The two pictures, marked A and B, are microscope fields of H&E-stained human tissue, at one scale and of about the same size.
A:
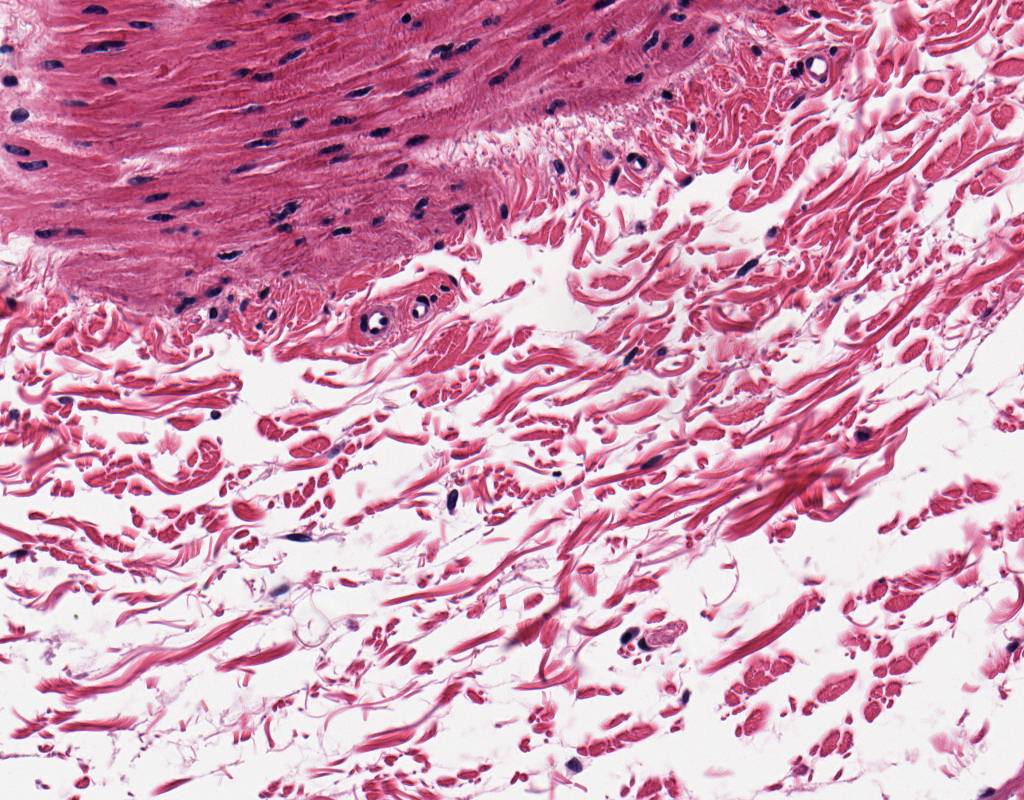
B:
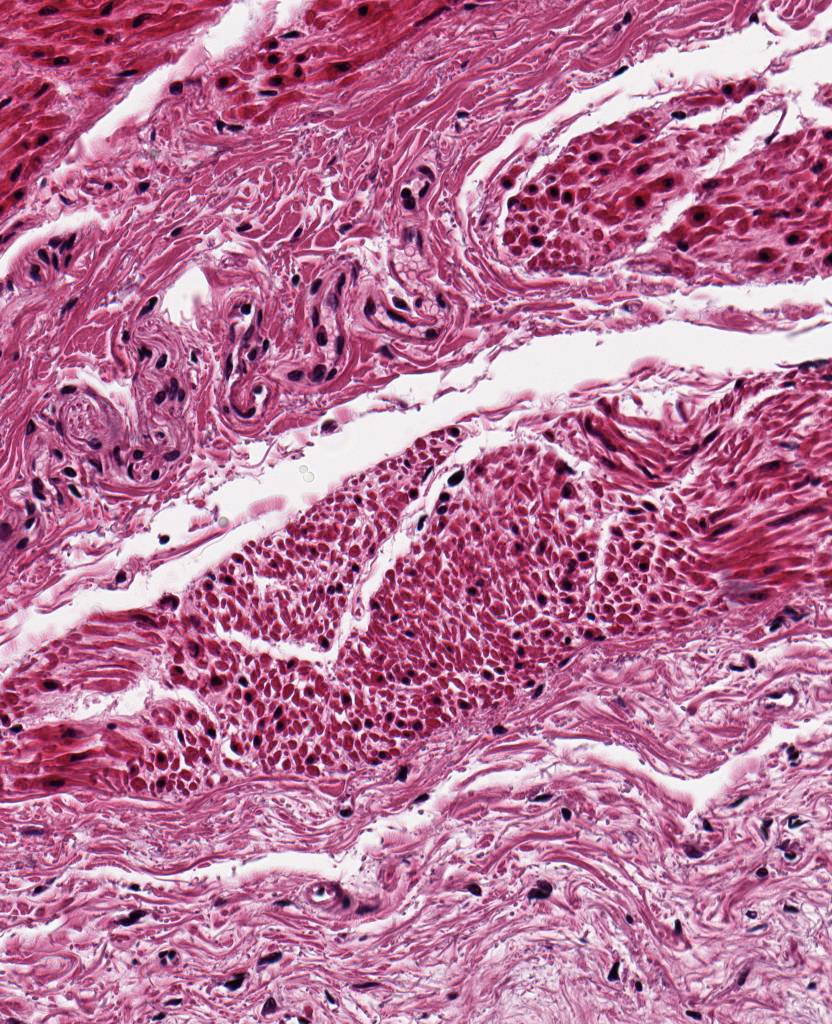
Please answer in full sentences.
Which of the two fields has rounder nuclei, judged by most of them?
Rounder nuclei lie in field B.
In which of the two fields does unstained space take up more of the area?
More of field A is empty and white.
